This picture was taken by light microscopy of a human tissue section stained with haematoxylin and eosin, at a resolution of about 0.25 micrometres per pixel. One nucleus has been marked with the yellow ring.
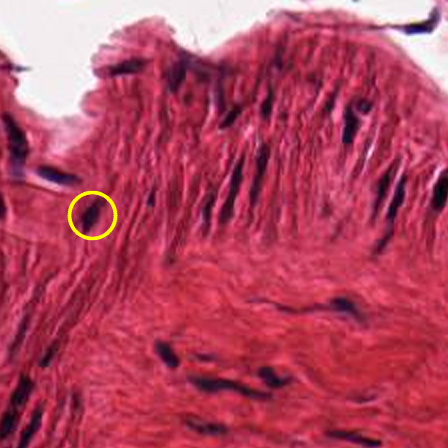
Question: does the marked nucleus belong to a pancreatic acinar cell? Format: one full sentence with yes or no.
No, in the image shown, the marked nucleus is not from a pancreatic acinar cell.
